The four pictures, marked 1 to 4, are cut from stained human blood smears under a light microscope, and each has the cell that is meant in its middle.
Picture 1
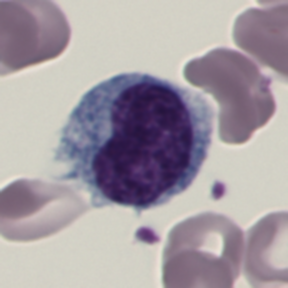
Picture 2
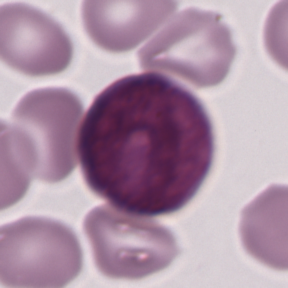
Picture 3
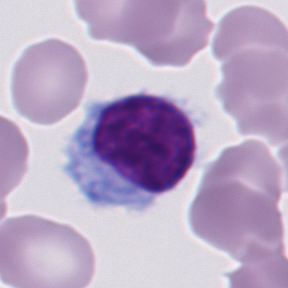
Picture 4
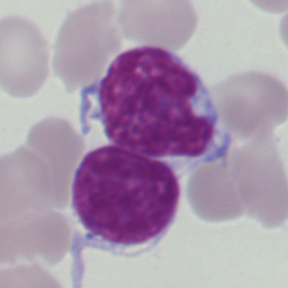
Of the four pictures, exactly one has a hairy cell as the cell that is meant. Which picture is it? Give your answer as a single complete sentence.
The picture with the hairy cell is 3.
